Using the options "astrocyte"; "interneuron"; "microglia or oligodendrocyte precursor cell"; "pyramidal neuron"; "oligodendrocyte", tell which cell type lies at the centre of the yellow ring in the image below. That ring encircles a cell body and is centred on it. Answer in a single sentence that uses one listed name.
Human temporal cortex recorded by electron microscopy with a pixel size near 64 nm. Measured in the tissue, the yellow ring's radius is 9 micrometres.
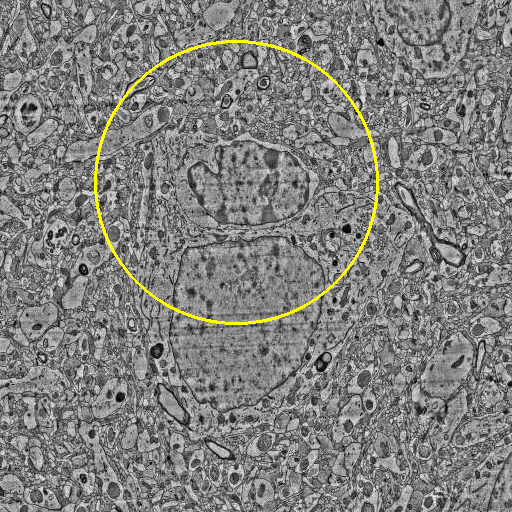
At the centre of the yellow ring lies the body of a microglial cell or oligodendrocyte precursor cell.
